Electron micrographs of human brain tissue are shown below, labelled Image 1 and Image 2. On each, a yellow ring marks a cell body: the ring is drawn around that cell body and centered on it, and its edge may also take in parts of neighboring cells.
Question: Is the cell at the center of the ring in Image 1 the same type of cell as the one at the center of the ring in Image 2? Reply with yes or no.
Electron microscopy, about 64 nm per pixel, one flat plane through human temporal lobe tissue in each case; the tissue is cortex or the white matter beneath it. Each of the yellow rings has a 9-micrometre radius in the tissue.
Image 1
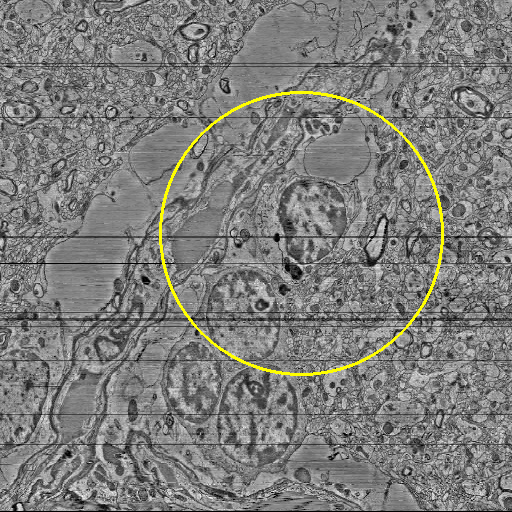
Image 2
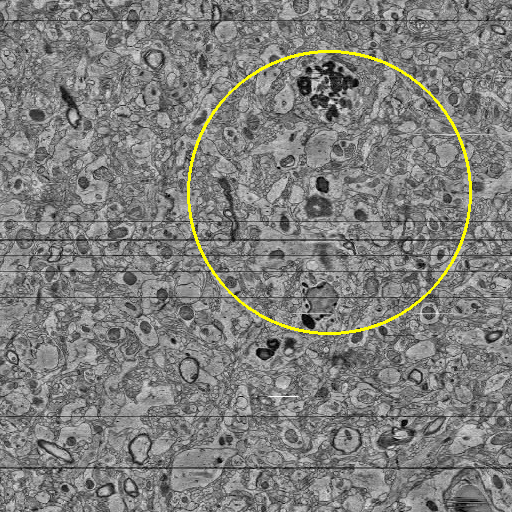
yes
